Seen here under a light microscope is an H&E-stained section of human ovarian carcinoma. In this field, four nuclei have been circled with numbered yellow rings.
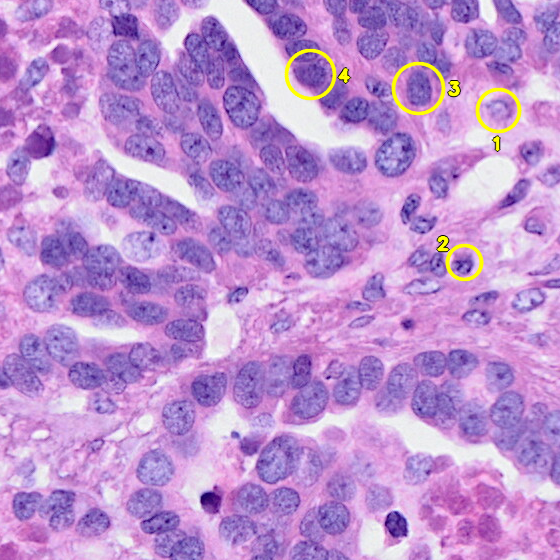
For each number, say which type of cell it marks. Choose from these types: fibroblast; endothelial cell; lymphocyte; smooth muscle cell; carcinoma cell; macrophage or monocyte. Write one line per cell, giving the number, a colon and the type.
1: fibroblast
2: lymphocyte
3: carcinoma cell
4: carcinoma cell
